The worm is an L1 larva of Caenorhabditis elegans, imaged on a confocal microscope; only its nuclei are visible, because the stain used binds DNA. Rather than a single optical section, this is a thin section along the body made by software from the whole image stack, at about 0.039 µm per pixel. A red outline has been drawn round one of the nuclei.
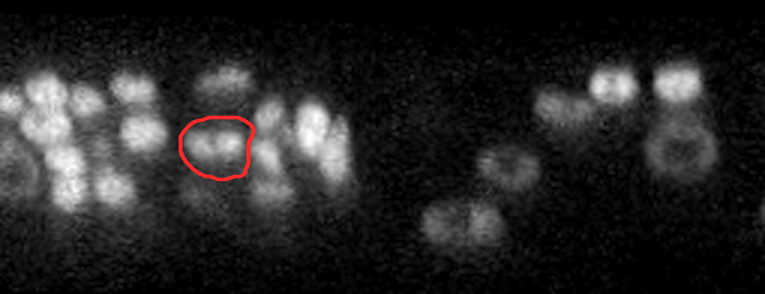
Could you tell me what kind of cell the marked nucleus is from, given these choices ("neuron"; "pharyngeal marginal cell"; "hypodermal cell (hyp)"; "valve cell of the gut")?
pharyngeal marginal cell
